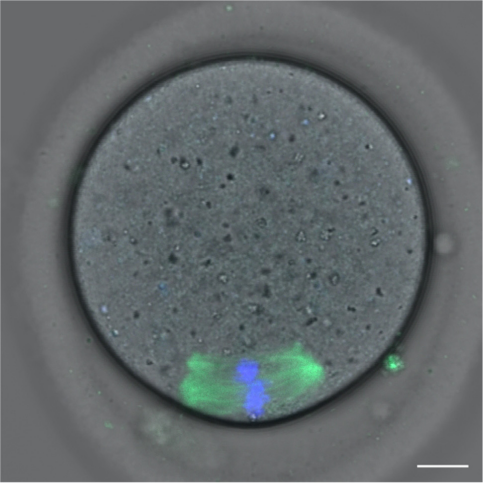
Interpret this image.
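Large round oocyte enclosed by a wide clear outer layer, with a small body in the space beside it. At the lower edge of the cell a green fibrous barrel-shaped spindle with two poles lies with its axis parallel to the surface. Blue chromosomes are aligned in a line across its middle.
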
